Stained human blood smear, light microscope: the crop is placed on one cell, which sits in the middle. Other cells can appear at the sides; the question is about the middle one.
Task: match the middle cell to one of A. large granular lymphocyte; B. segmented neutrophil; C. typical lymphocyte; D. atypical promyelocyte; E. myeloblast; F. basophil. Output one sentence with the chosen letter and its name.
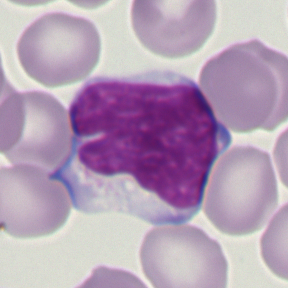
The middle cell of the crop is a large granular lymphocyte; accordingly, option A is correct.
